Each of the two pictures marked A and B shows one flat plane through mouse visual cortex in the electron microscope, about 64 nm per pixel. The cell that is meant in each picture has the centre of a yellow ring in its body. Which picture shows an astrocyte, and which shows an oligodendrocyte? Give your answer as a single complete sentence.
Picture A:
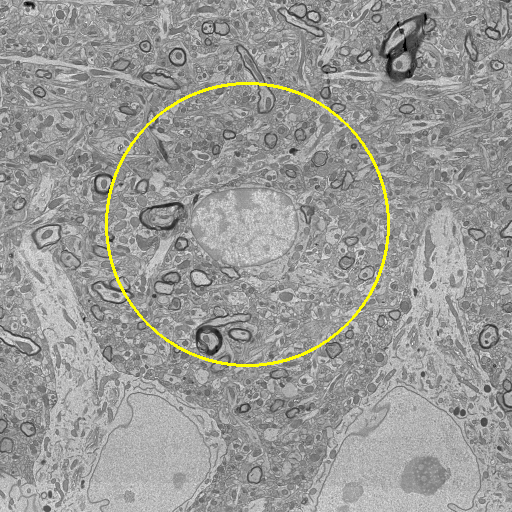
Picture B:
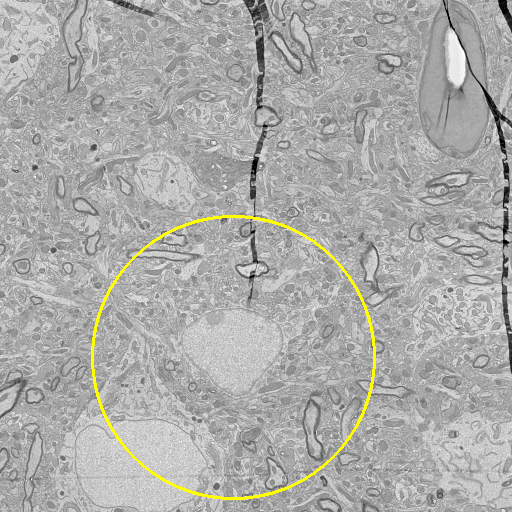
Picture A shows an oligodendrocyte and picture B shows an astrocyte.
